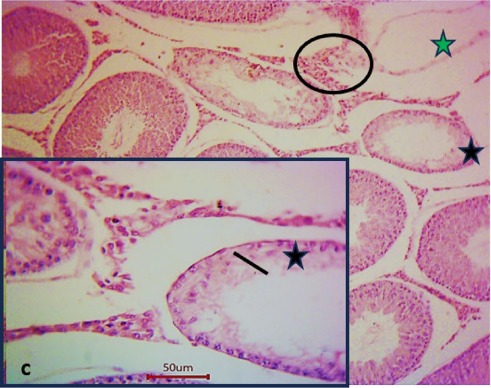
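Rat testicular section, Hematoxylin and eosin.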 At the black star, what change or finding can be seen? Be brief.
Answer: distorted seminiferous tubules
